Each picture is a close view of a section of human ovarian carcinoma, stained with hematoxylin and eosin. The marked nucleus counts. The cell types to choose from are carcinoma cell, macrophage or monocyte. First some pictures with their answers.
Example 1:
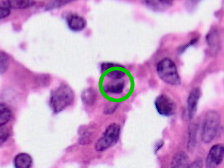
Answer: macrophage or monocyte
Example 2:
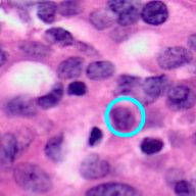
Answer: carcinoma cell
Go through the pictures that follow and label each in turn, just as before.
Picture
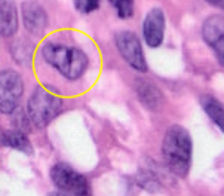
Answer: macrophage or monocyte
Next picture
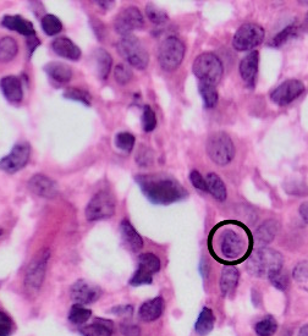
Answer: macrophage or monocyte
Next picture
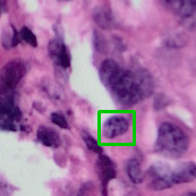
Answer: macrophage or monocyte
